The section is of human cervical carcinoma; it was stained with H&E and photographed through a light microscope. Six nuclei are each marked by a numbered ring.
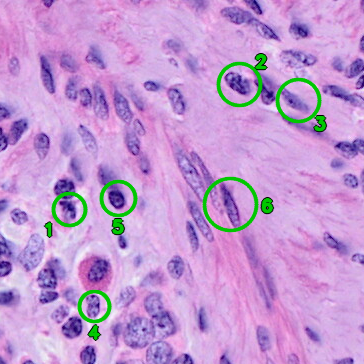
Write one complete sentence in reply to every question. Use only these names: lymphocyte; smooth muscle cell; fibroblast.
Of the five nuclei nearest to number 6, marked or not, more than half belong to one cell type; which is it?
Most of the five nuclei nearest to number 6 are those of smooth muscle cells.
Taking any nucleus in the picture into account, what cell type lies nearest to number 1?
The nucleus nearest to number 1 is that of a lymphocyte.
